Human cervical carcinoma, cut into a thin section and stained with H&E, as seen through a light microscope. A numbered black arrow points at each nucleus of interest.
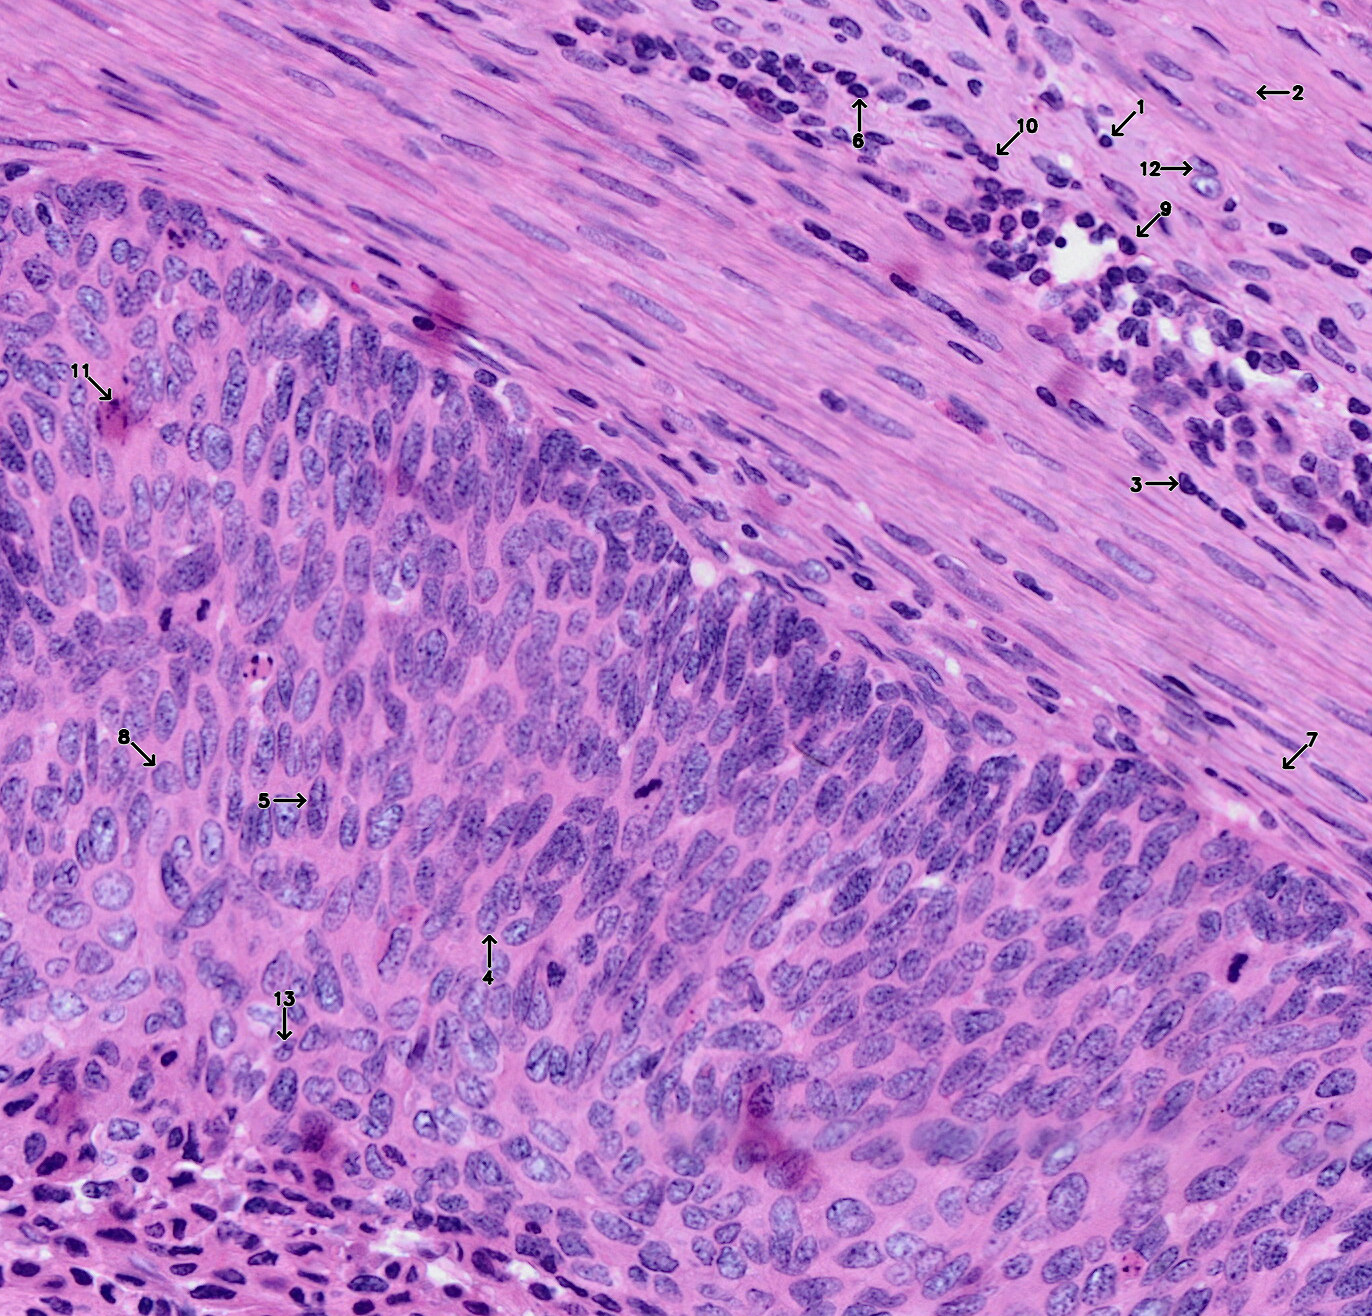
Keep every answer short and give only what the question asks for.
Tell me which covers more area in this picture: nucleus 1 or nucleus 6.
6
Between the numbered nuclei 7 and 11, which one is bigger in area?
7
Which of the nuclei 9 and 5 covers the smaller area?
9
